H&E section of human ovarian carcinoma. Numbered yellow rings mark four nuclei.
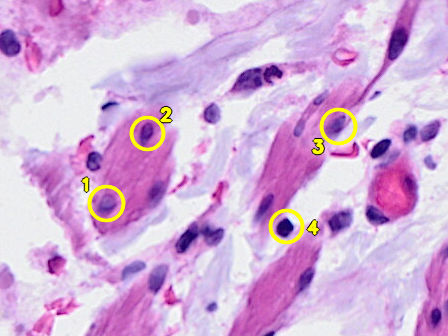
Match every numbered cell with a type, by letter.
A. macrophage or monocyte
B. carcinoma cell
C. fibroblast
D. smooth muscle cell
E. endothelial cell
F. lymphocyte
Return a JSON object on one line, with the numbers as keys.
{"1": "D", "2": "D", "3": "D", "4": "F"}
